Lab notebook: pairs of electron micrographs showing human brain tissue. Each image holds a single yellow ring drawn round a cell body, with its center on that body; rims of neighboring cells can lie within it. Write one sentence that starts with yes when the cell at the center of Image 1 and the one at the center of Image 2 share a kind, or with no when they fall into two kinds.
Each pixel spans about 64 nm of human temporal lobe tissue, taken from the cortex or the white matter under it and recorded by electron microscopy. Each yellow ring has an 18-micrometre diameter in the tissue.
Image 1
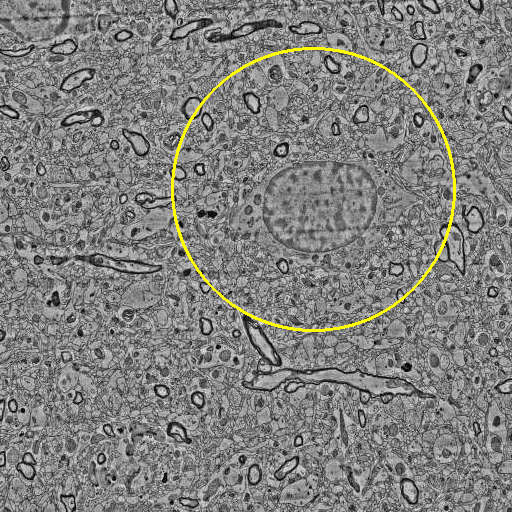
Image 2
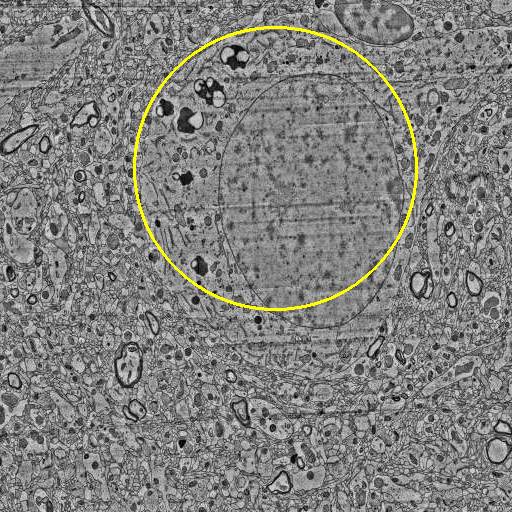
No, the centered cell in Image 1 and the centered cell in Image 2 are of two kinds.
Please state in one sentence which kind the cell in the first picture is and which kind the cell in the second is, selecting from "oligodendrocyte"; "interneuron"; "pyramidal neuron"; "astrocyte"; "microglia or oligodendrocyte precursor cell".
The first ringed cell is an oligodendrocyte, the second ringed cell a pyramidal neuron.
